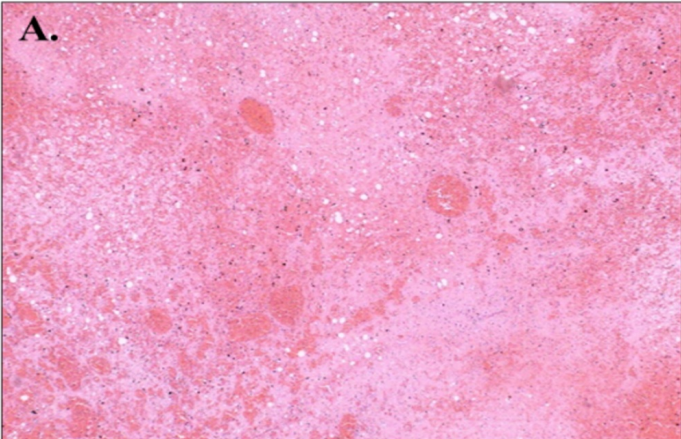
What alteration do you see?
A: infarcted, hemorrhagic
